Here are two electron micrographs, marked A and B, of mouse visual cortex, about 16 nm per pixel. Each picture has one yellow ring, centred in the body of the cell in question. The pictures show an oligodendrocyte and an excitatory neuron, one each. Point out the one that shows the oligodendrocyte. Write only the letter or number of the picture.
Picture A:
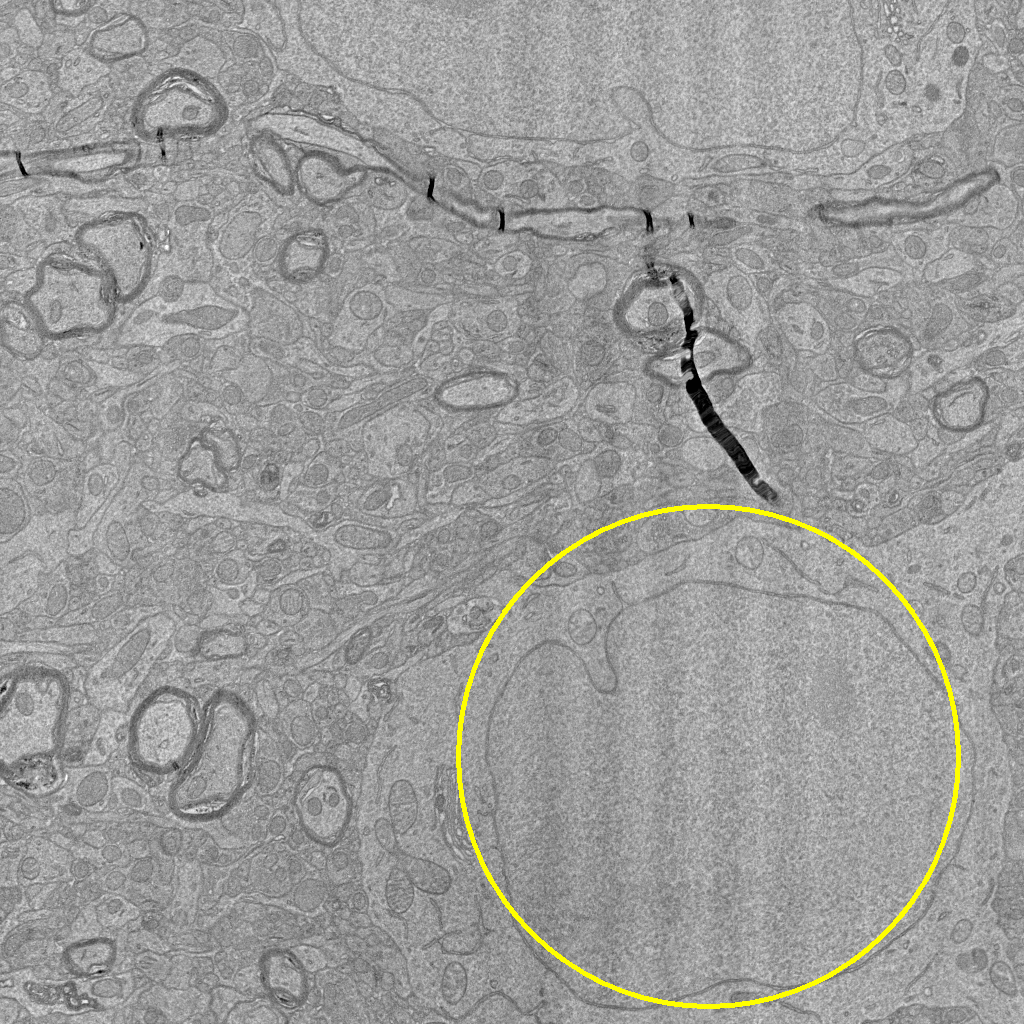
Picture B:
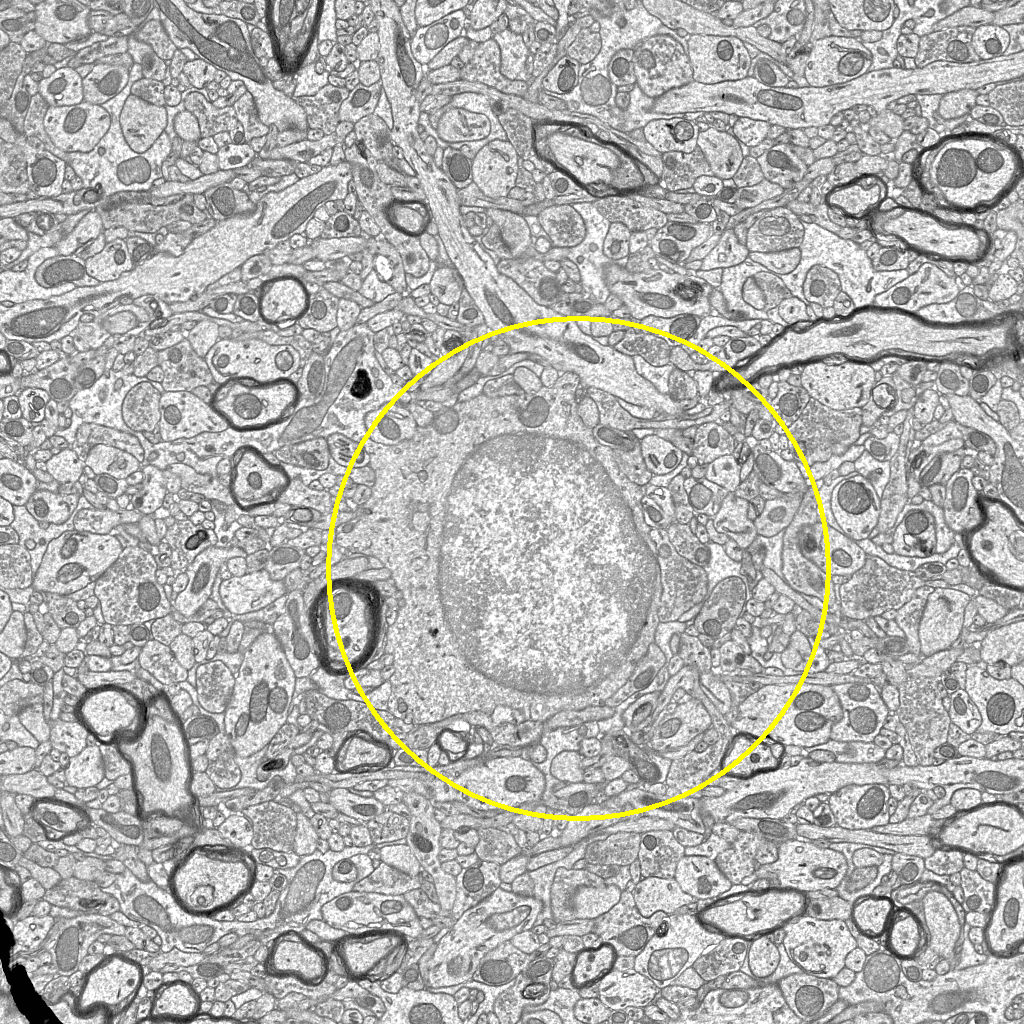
B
